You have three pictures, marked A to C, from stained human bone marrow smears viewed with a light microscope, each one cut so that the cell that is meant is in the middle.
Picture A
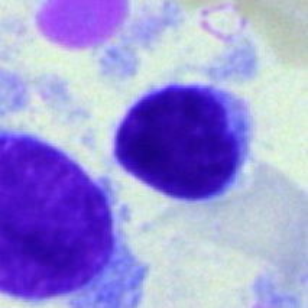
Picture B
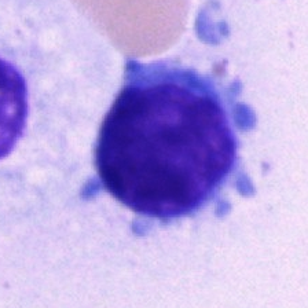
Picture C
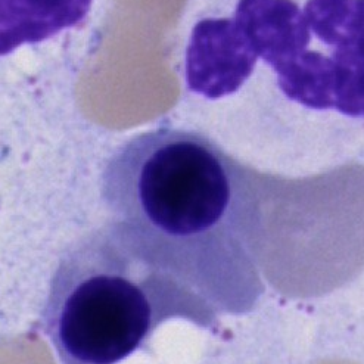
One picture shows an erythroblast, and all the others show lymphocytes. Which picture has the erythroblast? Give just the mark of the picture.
C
